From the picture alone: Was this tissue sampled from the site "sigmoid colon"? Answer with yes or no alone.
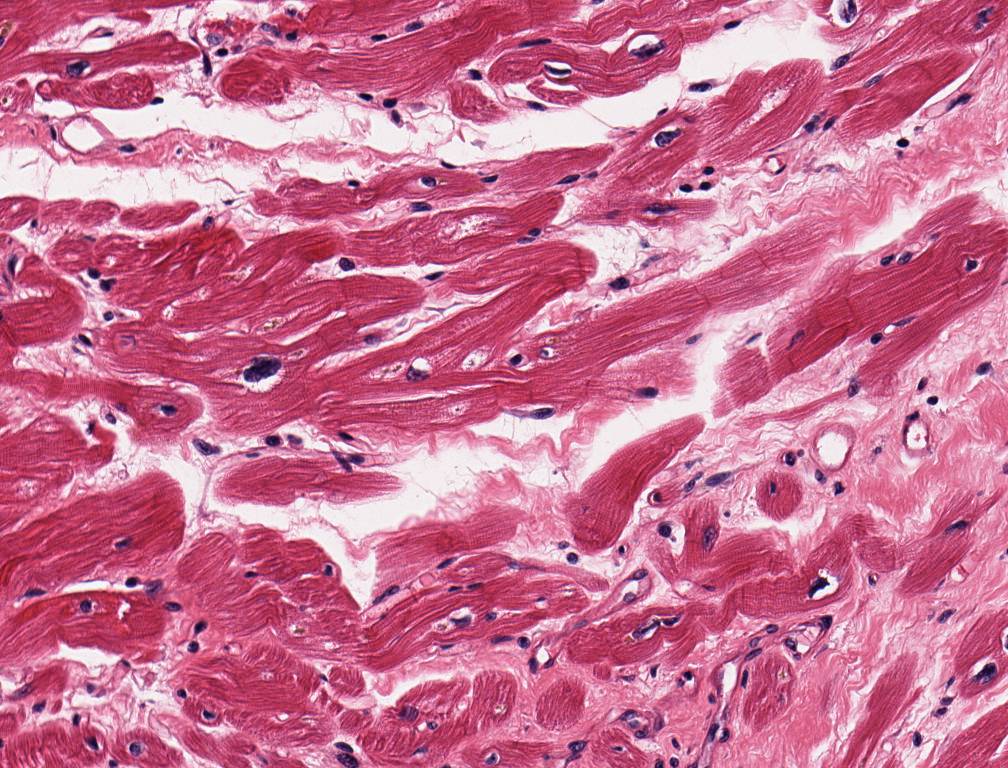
no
